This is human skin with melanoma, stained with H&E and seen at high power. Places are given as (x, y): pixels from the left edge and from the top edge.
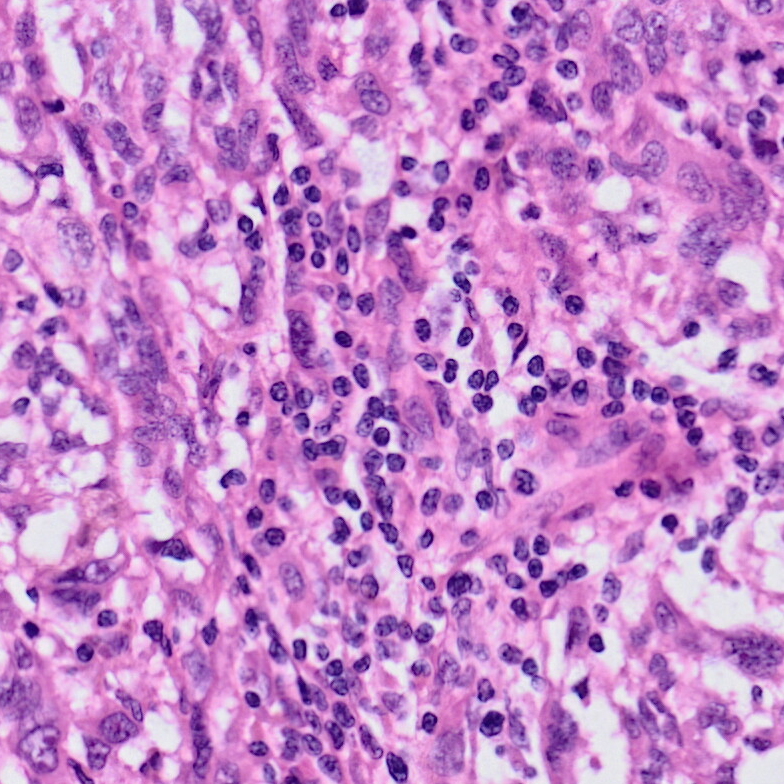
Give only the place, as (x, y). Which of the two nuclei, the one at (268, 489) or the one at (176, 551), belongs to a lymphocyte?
(268, 489)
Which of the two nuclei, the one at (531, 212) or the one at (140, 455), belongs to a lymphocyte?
(531, 212)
